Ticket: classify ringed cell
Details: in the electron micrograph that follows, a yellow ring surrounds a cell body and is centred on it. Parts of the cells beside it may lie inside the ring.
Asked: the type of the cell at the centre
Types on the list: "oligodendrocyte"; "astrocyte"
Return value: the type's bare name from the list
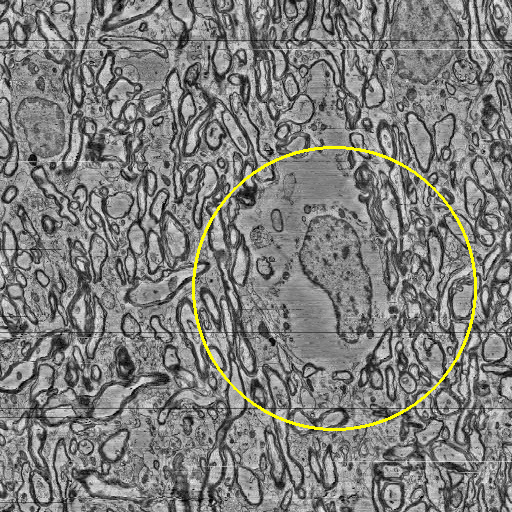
astrocyte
